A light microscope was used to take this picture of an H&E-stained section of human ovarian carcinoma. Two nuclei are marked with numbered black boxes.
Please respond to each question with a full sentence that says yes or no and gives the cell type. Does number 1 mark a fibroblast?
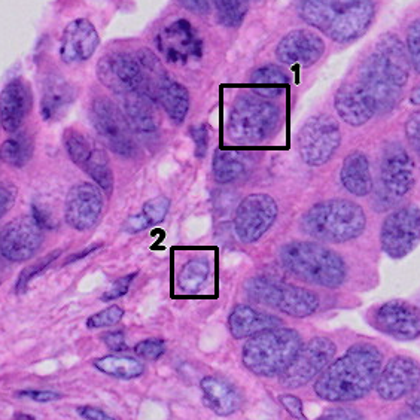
No, cell 1 is a carcinoma cell, not a fibroblast.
